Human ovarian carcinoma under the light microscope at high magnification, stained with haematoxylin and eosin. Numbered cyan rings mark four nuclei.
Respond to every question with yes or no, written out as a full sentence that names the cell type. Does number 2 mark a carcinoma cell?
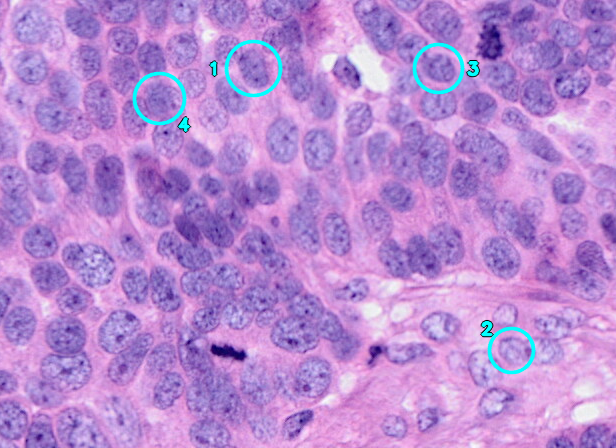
No, the cell given the number 2 is a fibroblast, so not a carcinoma cell.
